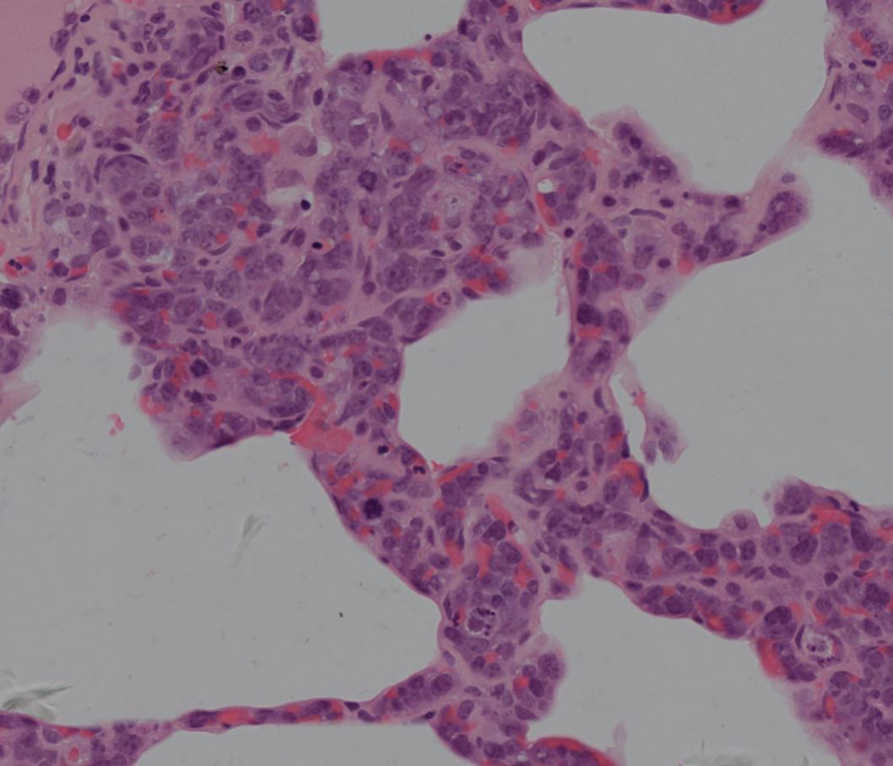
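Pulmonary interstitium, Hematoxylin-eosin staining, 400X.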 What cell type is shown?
tumour cells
